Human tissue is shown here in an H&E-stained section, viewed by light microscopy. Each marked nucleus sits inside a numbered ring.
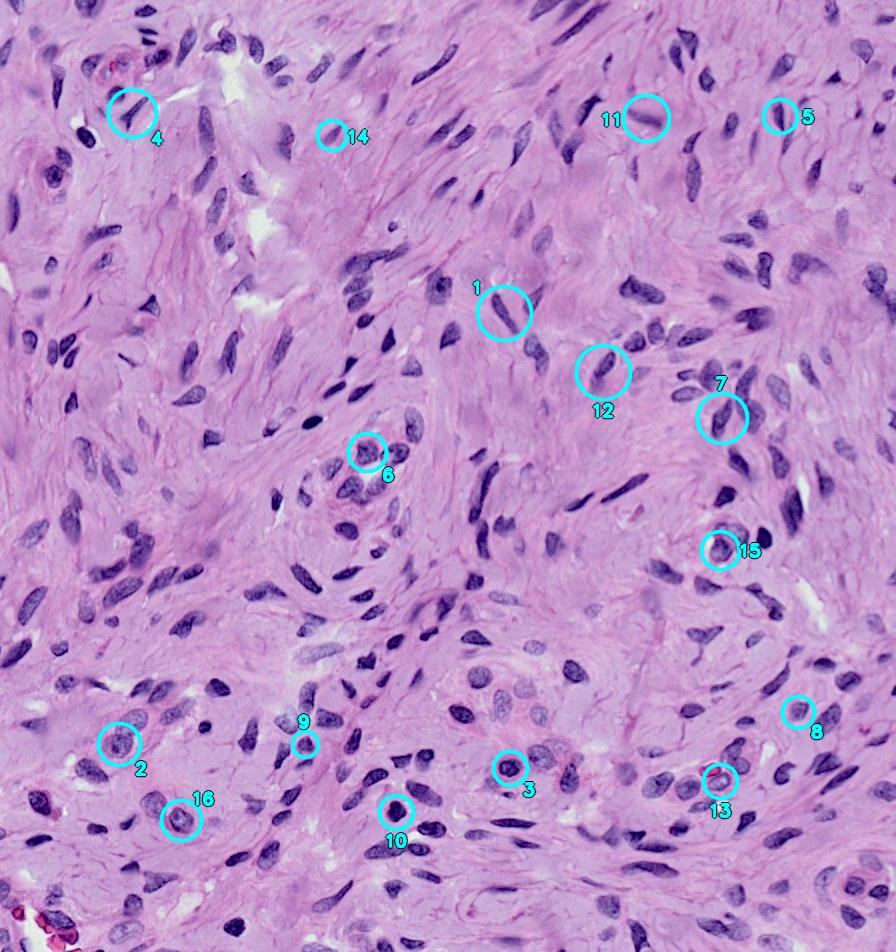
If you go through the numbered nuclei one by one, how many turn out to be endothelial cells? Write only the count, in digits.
6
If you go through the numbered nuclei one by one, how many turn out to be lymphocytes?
1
